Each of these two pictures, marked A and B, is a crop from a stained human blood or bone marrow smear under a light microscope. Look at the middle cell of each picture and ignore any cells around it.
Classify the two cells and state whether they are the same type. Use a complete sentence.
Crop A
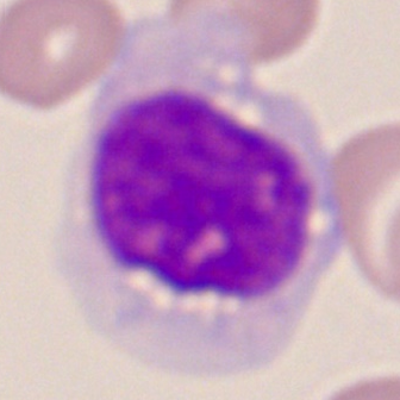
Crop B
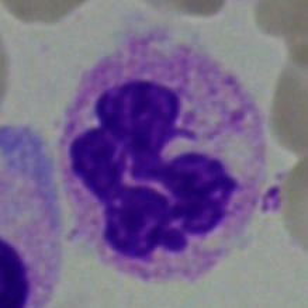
No, crop A shows a monocyte, with a segmented neutrophil shown in crop B.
